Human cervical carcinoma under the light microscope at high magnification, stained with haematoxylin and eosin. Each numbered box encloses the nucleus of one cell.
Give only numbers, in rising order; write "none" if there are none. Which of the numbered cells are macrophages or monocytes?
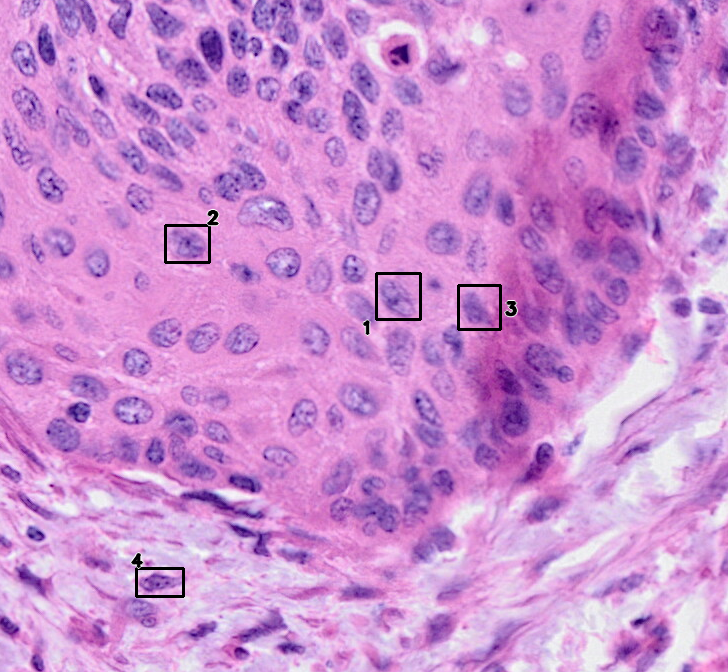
4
